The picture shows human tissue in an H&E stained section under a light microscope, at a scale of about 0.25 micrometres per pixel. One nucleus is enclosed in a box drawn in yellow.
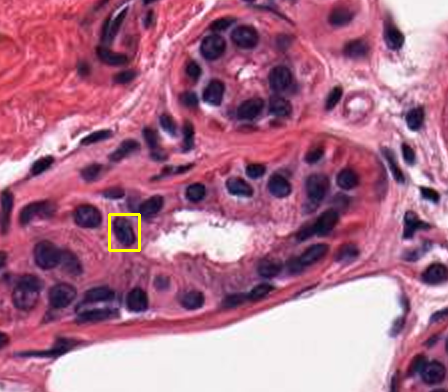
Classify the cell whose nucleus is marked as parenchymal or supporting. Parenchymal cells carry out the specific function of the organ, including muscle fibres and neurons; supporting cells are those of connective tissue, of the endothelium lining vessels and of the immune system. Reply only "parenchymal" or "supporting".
parenchymal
